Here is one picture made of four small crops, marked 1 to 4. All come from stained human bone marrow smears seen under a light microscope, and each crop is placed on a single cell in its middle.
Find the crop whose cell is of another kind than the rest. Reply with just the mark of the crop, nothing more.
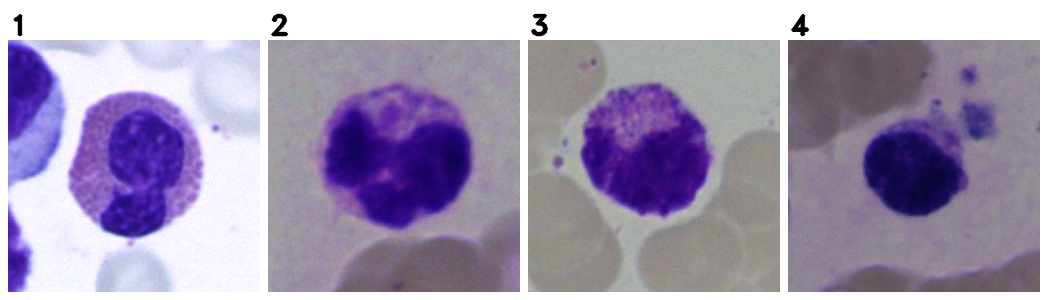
1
